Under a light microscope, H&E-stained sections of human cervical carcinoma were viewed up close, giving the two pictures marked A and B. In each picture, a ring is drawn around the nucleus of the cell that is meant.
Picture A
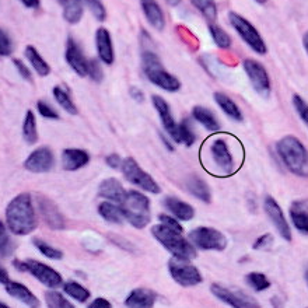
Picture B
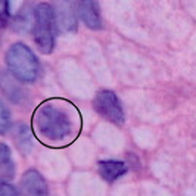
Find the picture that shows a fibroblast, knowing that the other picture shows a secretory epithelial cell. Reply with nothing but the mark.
A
